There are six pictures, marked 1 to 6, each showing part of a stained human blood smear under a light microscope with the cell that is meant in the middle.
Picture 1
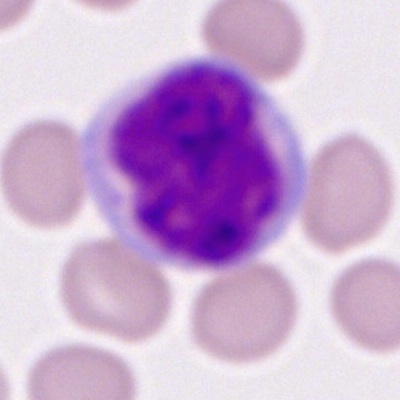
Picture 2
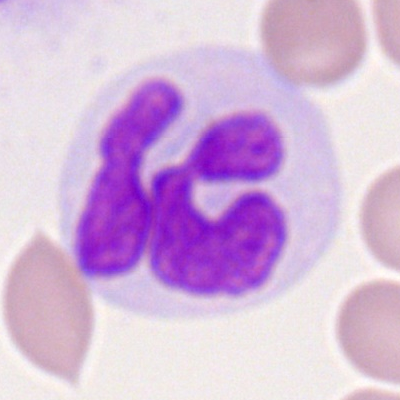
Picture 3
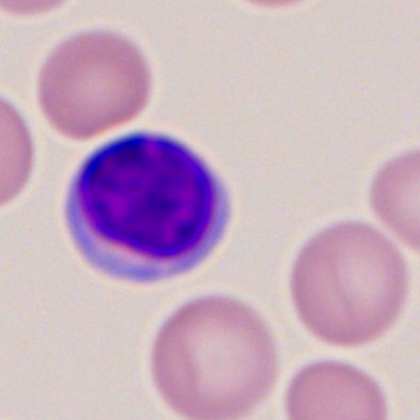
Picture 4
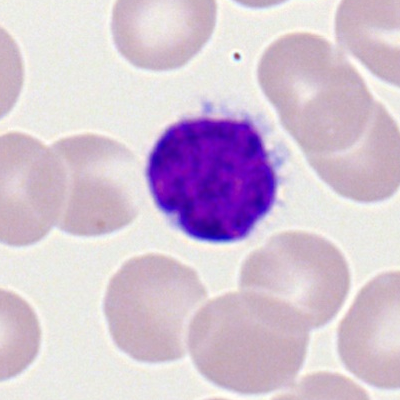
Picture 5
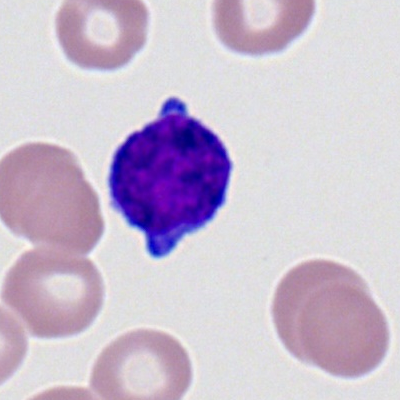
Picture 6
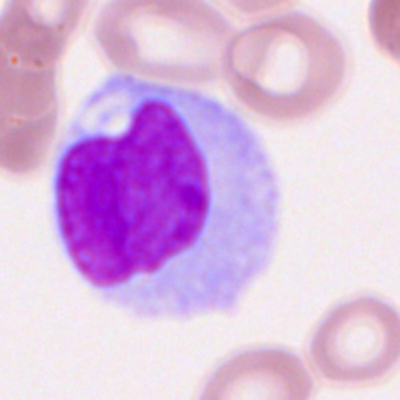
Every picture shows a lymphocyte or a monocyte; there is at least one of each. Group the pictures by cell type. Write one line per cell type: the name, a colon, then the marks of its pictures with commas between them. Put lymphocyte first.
lymphocyte: 3, 4, 5
monocyte: 1, 2, 6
